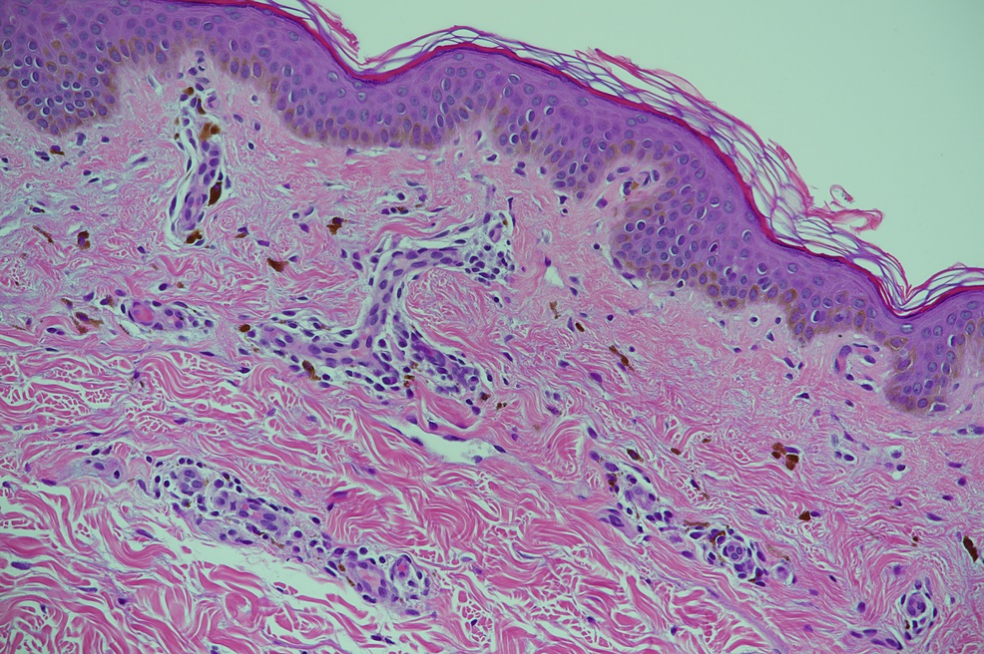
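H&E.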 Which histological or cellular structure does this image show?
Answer: Basket weave stratum corneum.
